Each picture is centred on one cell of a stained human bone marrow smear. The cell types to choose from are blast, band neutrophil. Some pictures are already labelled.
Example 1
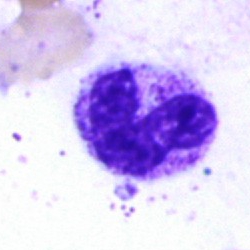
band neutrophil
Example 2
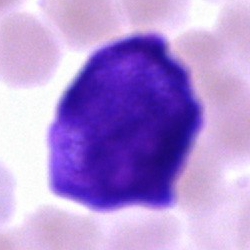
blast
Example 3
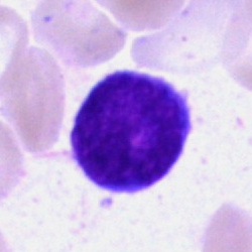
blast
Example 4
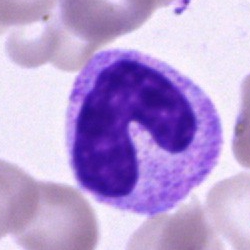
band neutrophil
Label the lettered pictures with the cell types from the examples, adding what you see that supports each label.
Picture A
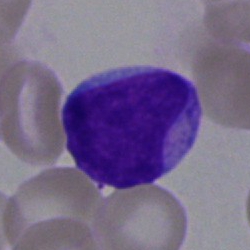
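blast: The cytoplasm is a scant deep-blue rim seen best along the top edge.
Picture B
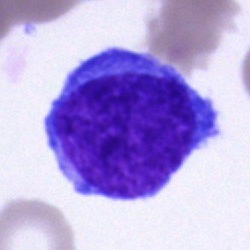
blast: The cytoplasm forms only a thin rim around the nucleus.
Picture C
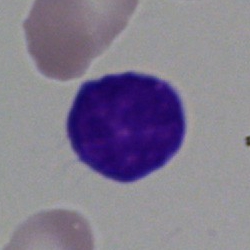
blast: The nucleus fills almost the entire cell.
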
